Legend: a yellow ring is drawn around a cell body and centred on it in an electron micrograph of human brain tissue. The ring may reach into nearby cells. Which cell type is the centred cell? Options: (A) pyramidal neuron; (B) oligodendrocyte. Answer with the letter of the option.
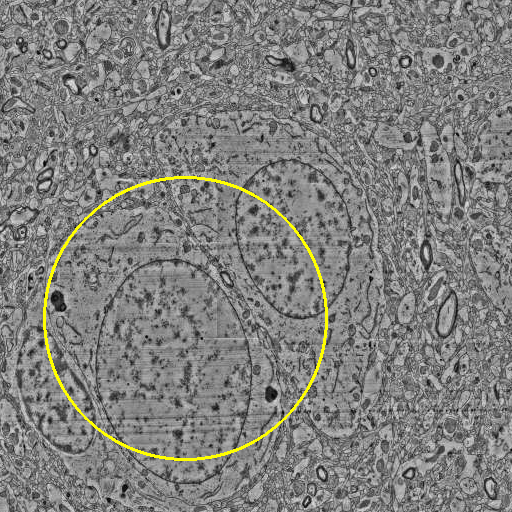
A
